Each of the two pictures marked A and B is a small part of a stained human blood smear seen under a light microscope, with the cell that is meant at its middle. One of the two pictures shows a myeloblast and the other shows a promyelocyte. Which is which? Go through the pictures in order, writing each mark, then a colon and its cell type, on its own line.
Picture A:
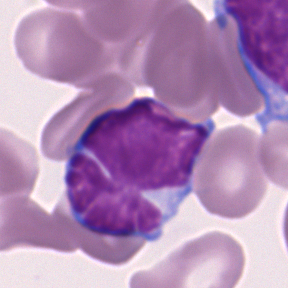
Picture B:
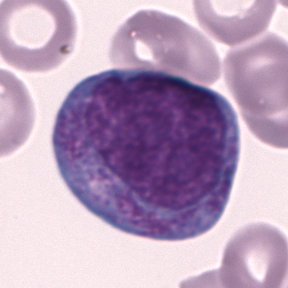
A: myeloblast
B: promyelocyte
